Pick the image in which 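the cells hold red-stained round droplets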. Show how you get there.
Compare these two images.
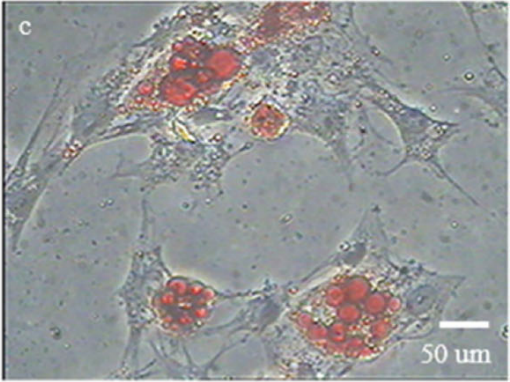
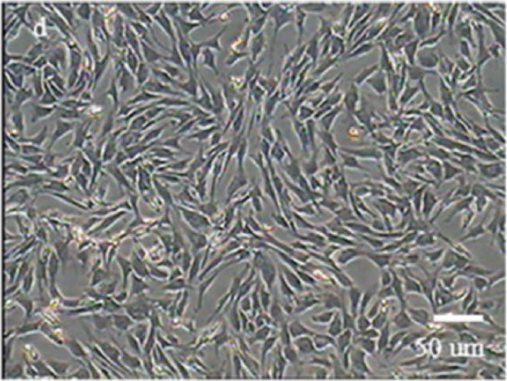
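Second image: dense spindle-shaped cells without red droplets. First image: several cells contain clusters of red round globules. On this evidence: the first image.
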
